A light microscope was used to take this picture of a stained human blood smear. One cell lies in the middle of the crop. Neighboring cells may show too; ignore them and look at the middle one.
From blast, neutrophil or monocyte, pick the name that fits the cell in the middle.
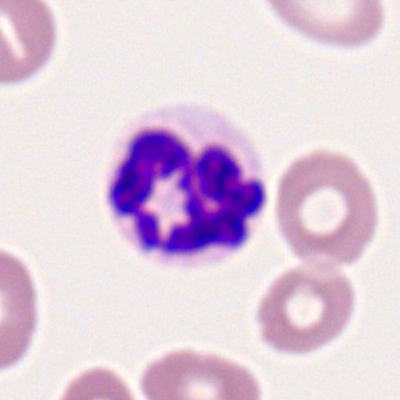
neutrophil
